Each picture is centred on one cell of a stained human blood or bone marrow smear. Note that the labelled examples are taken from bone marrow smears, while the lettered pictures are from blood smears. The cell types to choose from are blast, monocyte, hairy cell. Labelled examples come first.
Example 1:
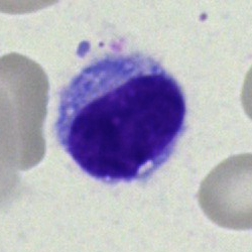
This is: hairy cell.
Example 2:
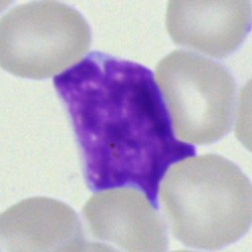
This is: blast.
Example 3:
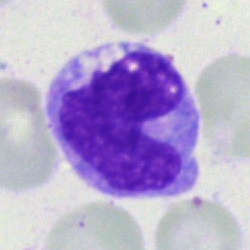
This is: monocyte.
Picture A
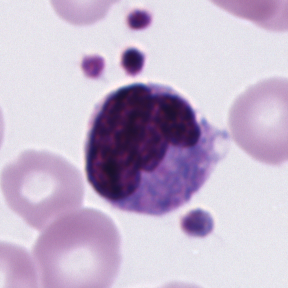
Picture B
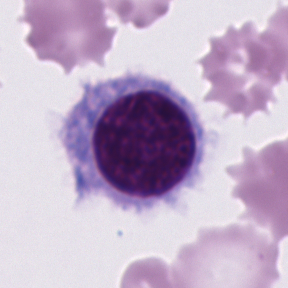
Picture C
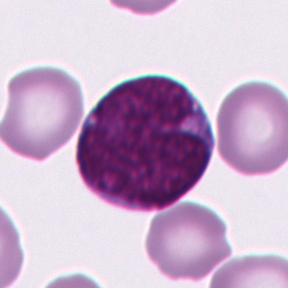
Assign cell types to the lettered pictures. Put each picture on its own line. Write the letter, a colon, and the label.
A: monocyte.
B: hairy cell.
C: blast.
